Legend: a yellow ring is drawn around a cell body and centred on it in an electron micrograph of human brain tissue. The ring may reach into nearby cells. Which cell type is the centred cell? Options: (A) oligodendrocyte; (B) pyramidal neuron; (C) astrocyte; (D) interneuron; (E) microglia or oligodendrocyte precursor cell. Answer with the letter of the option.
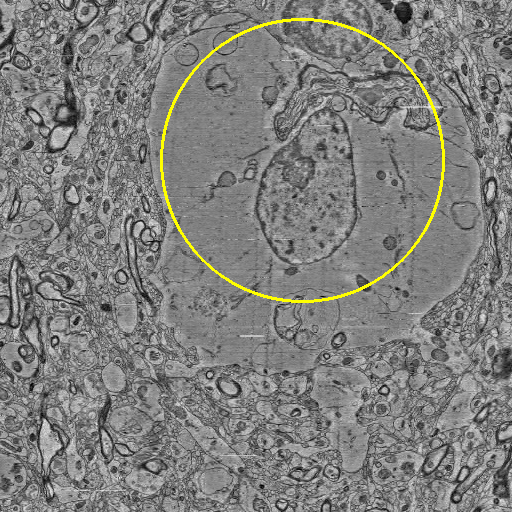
C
